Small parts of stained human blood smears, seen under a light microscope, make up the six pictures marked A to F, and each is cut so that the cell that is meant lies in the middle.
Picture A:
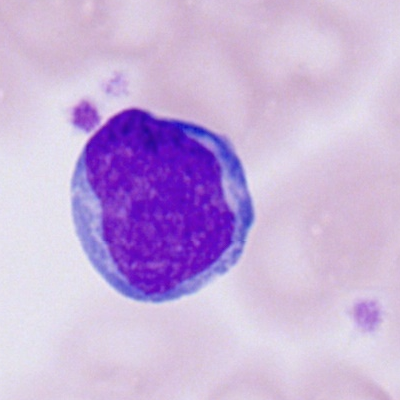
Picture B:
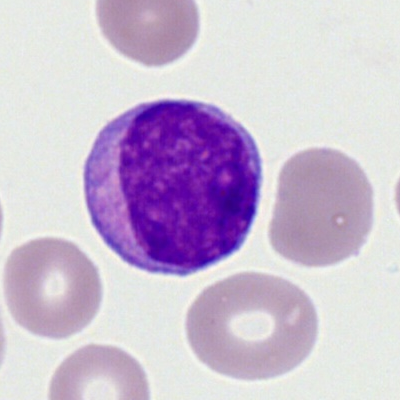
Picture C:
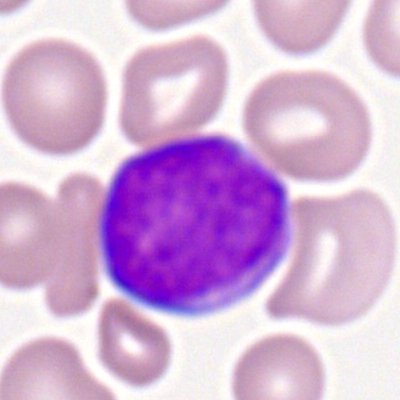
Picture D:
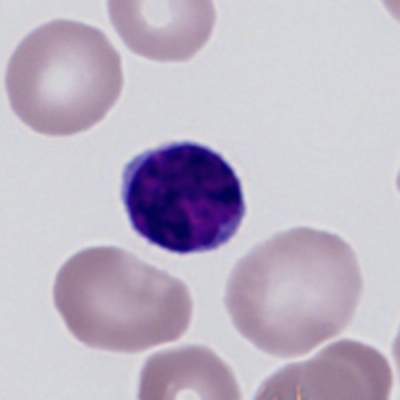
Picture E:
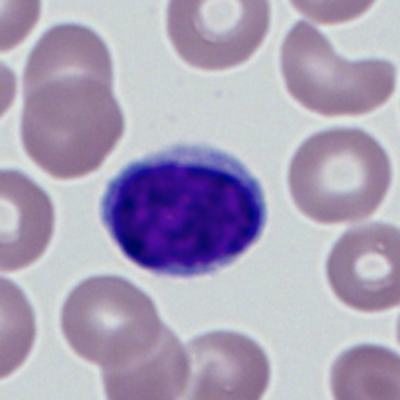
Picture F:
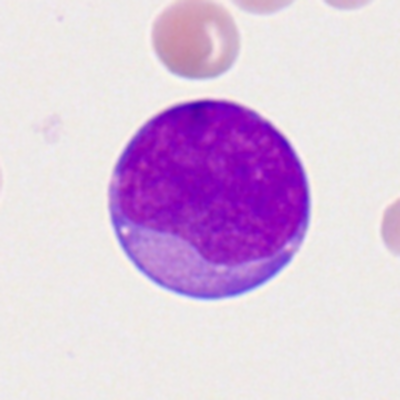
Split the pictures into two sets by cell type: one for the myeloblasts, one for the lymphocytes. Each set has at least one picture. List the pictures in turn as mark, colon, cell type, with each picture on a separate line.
A: myeloblast
B: myeloblast
C: myeloblast
D: lymphocyte
E: lymphocyte
F: myeloblast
